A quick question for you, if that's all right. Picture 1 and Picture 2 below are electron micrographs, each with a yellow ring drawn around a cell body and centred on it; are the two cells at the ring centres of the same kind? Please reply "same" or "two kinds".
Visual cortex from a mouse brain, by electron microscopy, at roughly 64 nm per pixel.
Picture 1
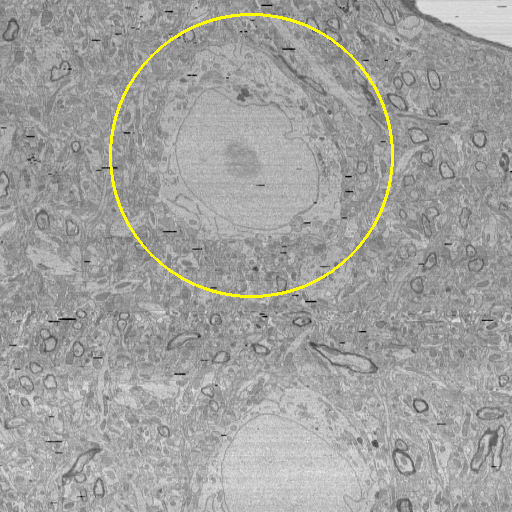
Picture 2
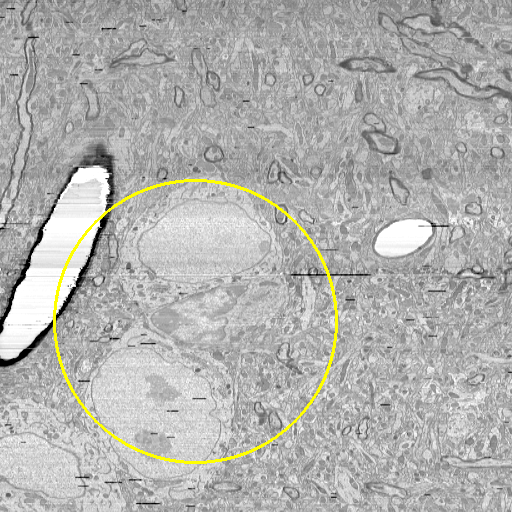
two kinds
